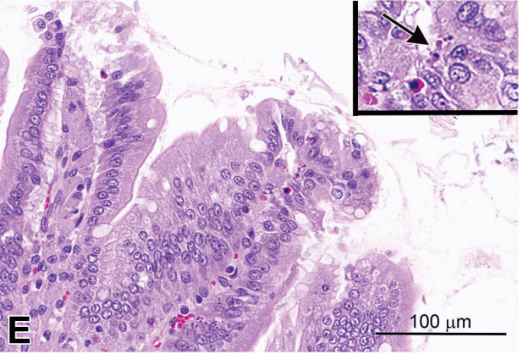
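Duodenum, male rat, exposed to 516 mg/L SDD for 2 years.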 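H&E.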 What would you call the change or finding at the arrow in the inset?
Single-cell necrosis.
